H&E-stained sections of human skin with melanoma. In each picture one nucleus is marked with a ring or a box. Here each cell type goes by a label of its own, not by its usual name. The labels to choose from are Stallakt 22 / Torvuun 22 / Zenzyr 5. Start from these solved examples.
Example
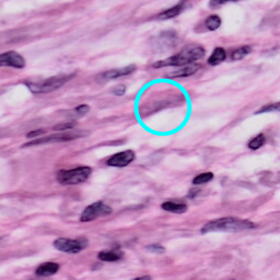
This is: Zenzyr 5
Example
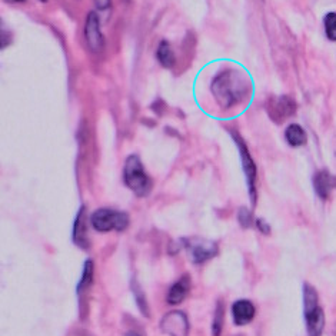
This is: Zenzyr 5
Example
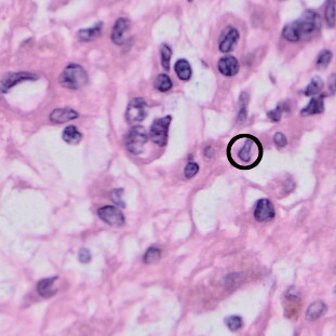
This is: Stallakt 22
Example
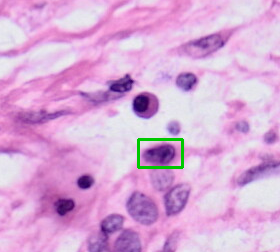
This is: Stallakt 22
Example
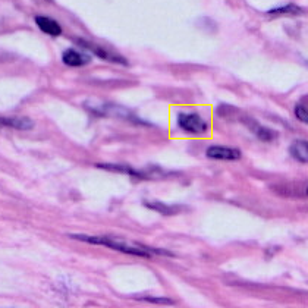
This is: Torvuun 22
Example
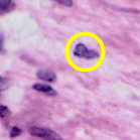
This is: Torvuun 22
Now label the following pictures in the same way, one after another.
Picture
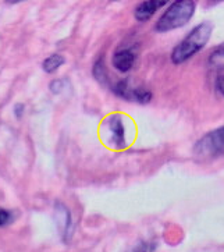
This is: Zenzyr 5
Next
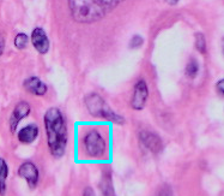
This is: Stallakt 22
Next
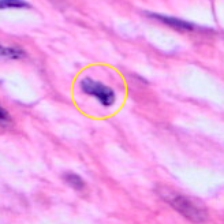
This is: Torvuun 22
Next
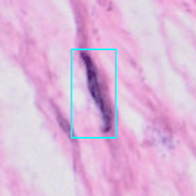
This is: Zenzyr 5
